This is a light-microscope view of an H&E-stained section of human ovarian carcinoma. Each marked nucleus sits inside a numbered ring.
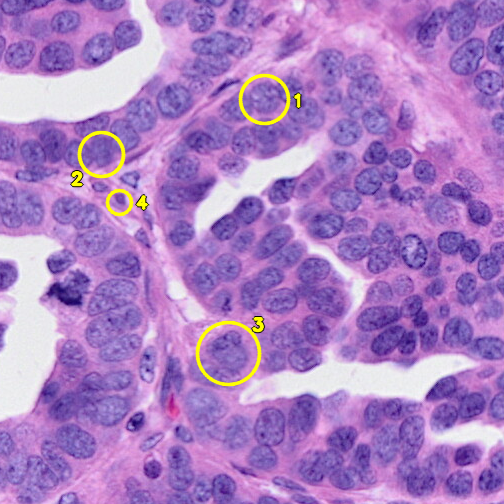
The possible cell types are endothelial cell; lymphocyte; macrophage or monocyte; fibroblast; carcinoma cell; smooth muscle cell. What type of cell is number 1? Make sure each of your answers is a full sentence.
In the tissue shown, cell 1 is a carcinoma cell.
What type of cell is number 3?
Here, the cell given the number 3 is a carcinoma cell.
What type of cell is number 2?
The numbered cell 2 is identified here as a carcinoma cell.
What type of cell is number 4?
What the number 4 marks in this field is a fibroblast.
